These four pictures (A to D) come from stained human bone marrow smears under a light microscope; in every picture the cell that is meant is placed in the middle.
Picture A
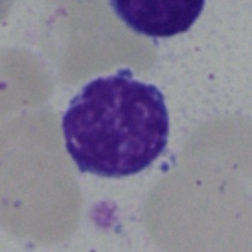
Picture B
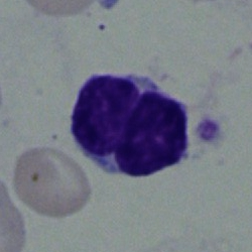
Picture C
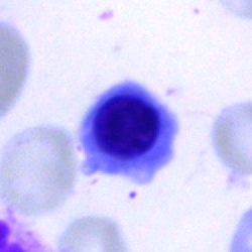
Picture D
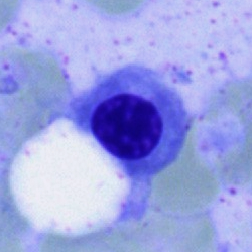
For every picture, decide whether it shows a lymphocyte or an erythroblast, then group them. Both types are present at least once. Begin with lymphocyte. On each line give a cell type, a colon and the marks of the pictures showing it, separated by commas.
lymphocyte: A, B
erythroblast: C, D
